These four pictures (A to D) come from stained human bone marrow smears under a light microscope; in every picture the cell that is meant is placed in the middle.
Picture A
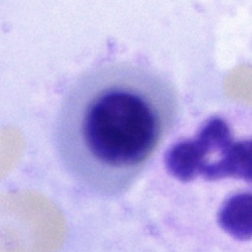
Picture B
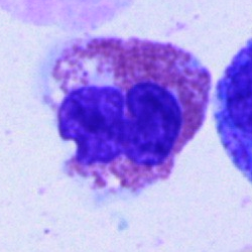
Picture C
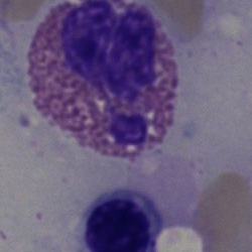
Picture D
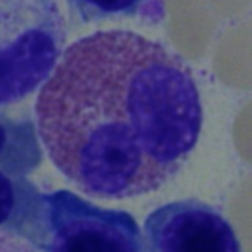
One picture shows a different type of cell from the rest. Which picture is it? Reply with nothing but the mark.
A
